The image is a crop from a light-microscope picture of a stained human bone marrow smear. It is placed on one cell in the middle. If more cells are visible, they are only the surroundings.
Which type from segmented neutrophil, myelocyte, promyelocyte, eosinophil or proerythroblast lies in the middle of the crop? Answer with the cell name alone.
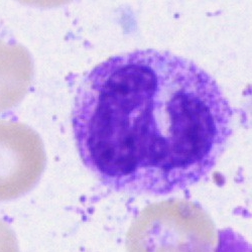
segmented neutrophil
